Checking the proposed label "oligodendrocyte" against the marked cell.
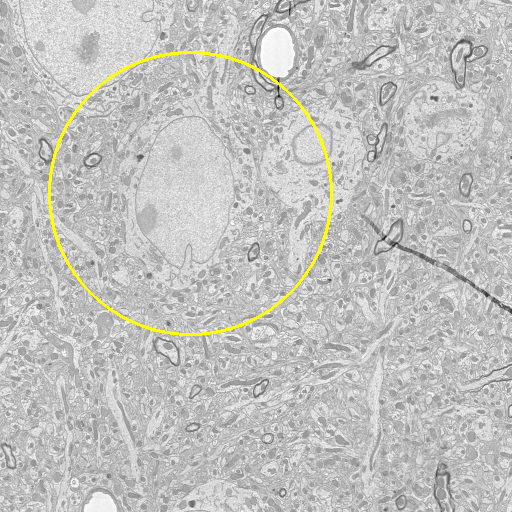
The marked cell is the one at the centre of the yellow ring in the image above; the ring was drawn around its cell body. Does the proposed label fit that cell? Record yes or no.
no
